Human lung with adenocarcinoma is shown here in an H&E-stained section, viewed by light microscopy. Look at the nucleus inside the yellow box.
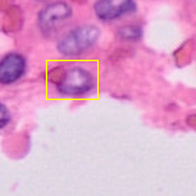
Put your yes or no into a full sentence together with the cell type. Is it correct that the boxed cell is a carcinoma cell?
No, far from being a carcinoma cell, the boxed cell is a macrophage or monocyte.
